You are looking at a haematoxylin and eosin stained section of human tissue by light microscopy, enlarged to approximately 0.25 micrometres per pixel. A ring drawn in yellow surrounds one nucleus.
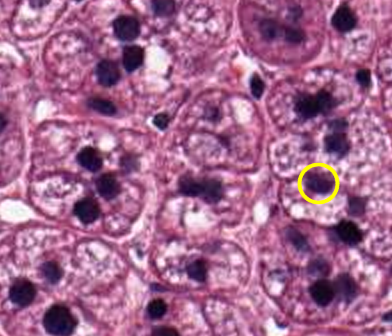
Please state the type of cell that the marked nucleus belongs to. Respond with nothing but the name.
adrenal cortical cell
